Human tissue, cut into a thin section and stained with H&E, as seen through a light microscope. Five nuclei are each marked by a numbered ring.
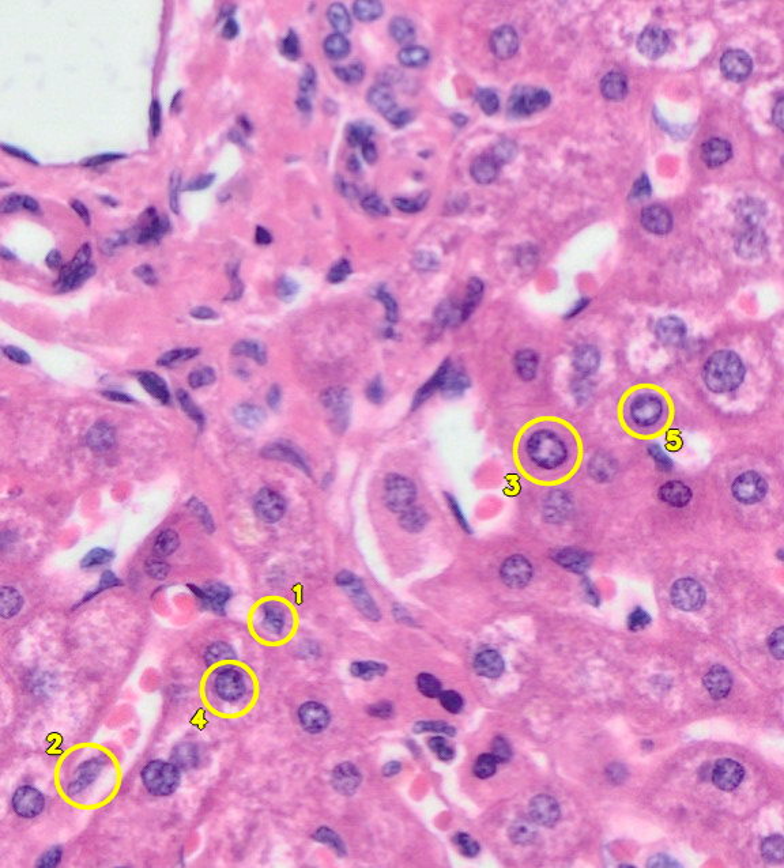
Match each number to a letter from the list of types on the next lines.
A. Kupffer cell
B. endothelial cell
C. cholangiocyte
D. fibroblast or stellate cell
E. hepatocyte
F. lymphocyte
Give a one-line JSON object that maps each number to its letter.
{"1": "D", "2": "A", "3": "E", "4": "E", "5": "E"}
